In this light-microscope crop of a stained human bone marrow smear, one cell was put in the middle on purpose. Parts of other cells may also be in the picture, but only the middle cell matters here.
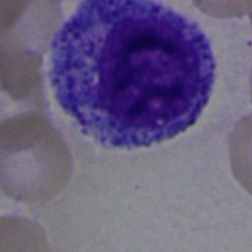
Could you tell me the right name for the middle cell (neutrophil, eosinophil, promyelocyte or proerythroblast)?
promyelocyte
